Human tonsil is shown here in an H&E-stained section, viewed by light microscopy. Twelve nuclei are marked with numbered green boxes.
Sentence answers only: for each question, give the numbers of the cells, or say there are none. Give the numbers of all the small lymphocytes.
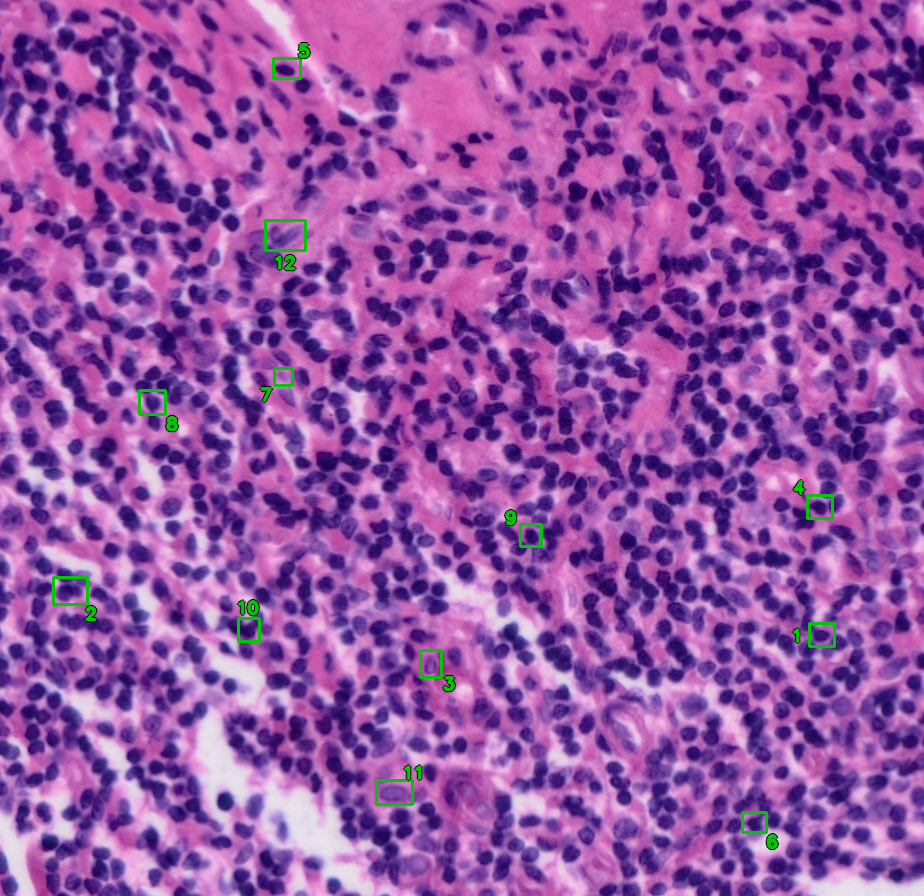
The cells numbered 1, 2, 4, 6, 8, 9 and 10 are of one kind: small lymphocytes.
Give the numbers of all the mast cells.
Cell number 5 alone is a mast cell; the rest are not.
